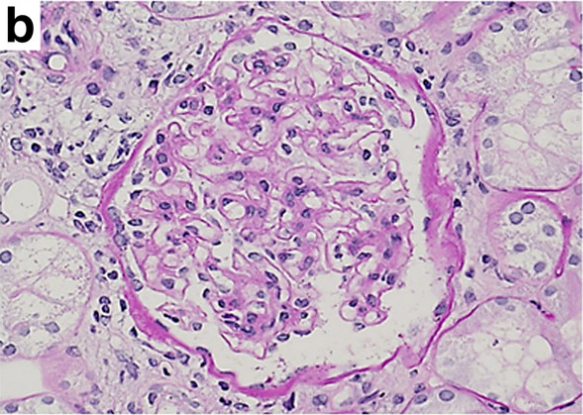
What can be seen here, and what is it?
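A kidney glomerulus is seen at high magnification, surrounded by renal tubules. The glomerular tuft is a lobulated bundle of capillary loops with thin magenta basement membranes. Scattered oval nuclei lie in the tuft, and there is a modest amount of magenta material in the stalk regions between the loops. Around the glomerulus, tubule cross-sections have pale, finely vacuolated cytoplasm and round basal nuclei.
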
